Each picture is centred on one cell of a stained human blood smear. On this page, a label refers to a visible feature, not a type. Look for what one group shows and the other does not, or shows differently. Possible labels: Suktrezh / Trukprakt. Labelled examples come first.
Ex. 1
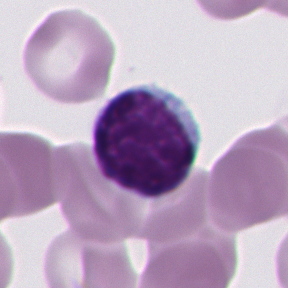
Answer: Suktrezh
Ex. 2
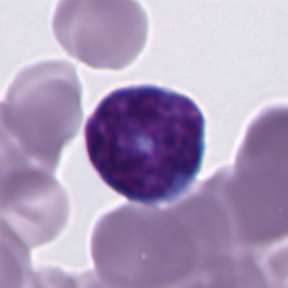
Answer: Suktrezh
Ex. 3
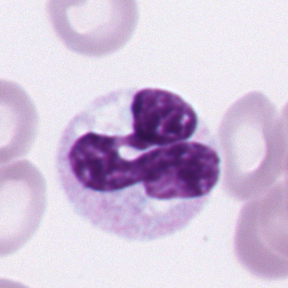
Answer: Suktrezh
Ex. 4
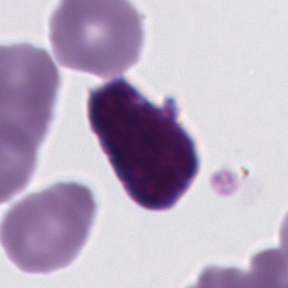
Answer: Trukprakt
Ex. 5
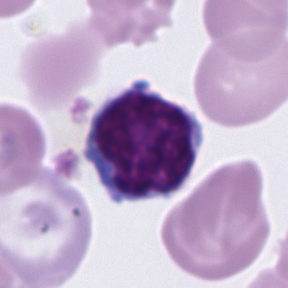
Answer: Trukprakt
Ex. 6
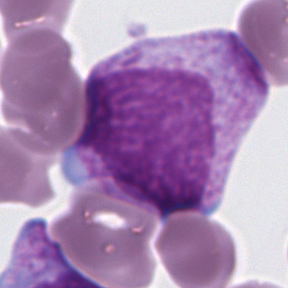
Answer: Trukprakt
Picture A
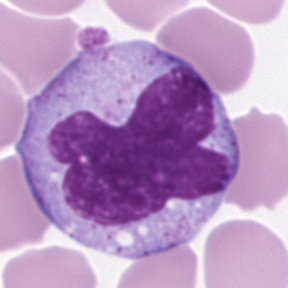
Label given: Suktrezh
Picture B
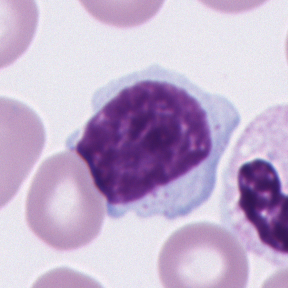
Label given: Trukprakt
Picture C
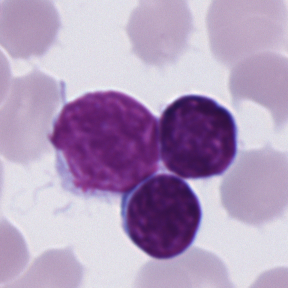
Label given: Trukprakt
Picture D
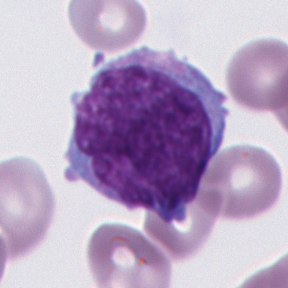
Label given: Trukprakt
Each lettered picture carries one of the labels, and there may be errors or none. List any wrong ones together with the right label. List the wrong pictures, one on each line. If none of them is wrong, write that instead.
Nothing to fix; every label fits.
